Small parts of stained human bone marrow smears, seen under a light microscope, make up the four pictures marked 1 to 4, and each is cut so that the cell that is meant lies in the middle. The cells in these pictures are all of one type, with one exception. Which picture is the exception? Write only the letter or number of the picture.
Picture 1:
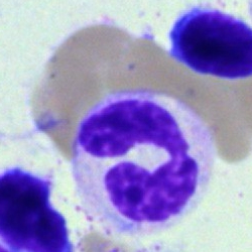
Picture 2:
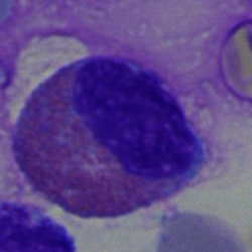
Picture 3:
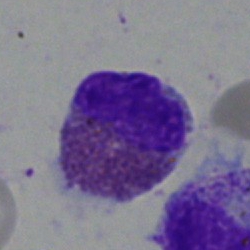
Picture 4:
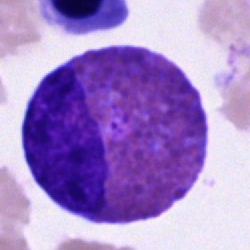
1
